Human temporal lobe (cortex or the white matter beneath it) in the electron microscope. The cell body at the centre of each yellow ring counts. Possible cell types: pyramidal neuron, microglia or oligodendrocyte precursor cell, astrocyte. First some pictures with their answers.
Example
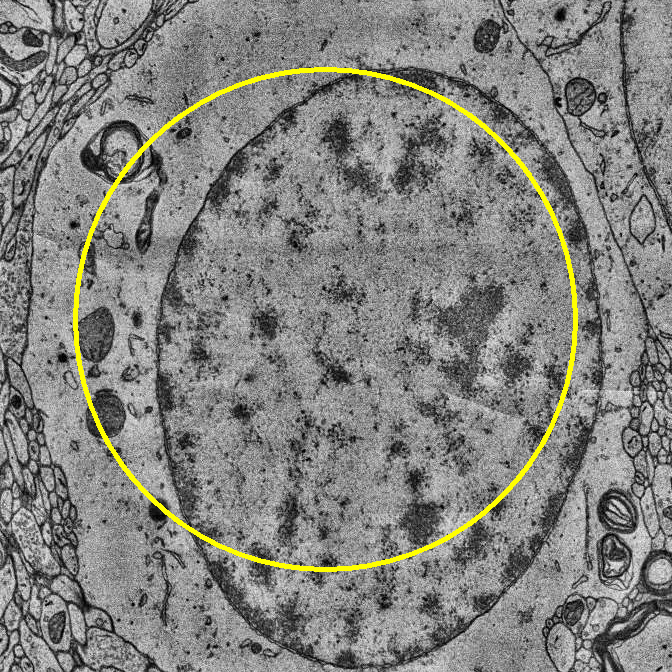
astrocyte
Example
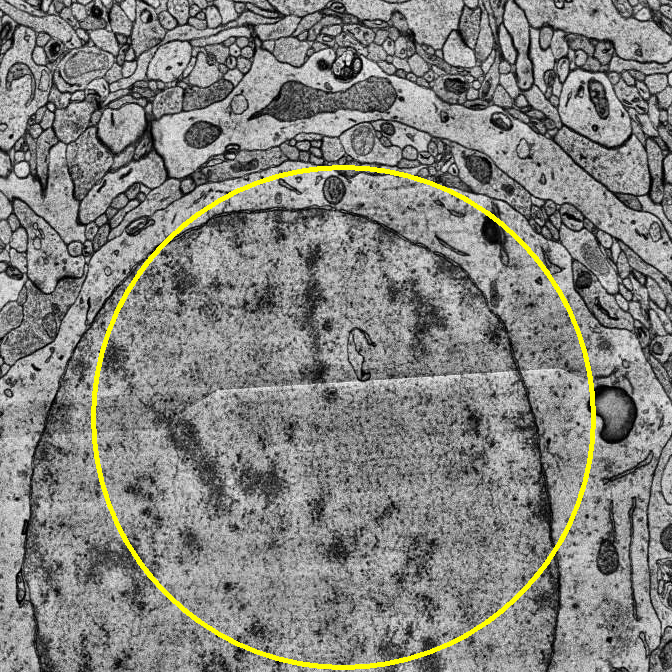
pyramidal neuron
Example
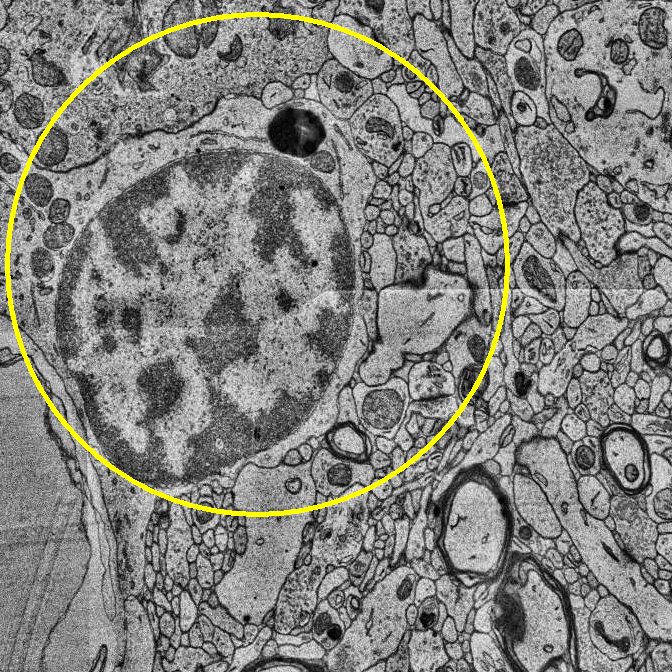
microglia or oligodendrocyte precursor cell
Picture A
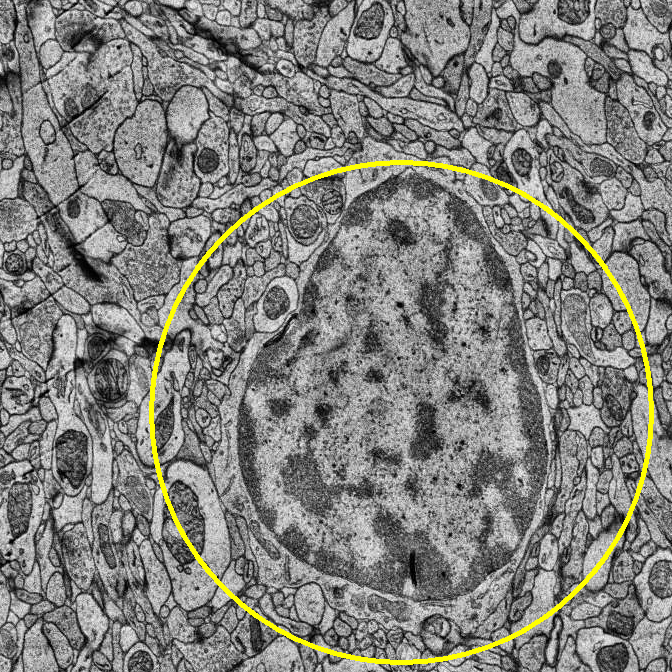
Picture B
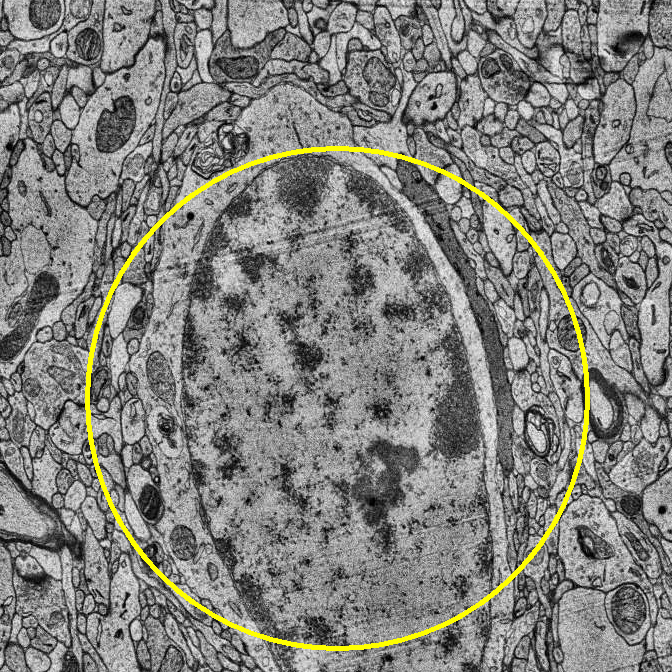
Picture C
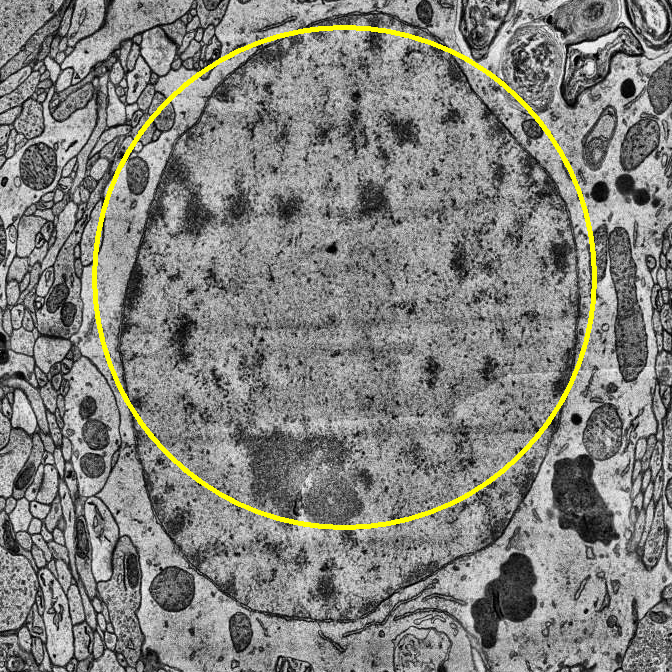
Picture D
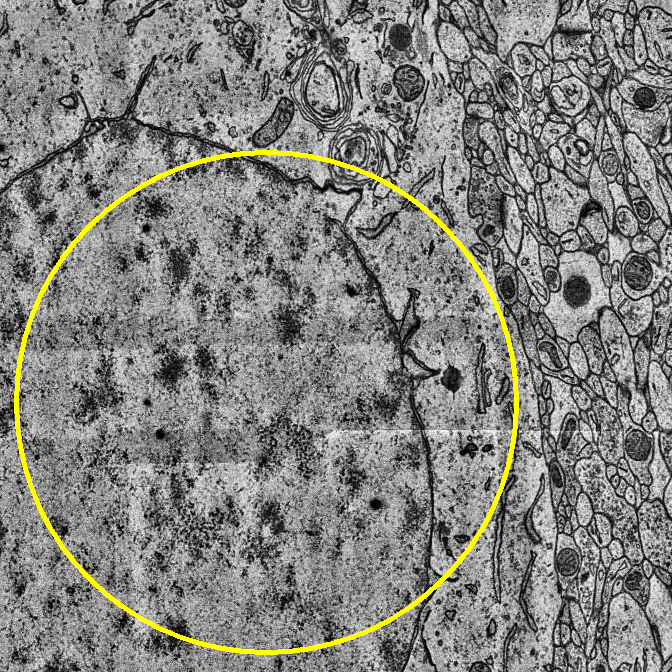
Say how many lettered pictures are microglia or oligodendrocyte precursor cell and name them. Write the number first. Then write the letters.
Count: 2 (A, B)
